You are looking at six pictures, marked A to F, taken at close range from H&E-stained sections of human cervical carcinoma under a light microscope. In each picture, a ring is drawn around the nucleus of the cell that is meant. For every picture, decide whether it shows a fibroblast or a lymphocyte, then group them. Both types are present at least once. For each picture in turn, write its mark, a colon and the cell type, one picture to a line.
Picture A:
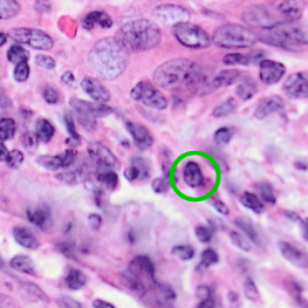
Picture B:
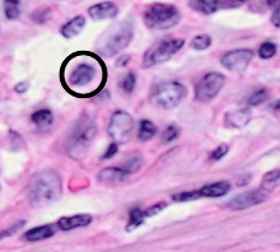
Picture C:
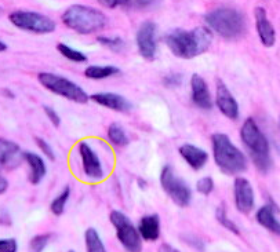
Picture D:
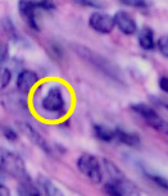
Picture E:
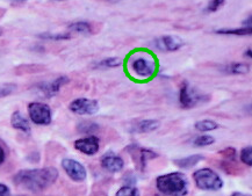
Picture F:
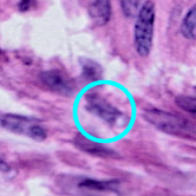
A: lymphocyte
B: lymphocyte
C: fibroblast
D: lymphocyte
E: lymphocyte
F: fibroblast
